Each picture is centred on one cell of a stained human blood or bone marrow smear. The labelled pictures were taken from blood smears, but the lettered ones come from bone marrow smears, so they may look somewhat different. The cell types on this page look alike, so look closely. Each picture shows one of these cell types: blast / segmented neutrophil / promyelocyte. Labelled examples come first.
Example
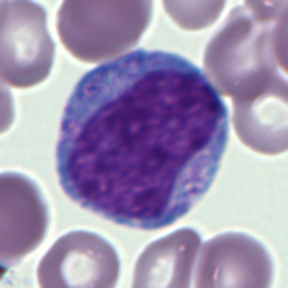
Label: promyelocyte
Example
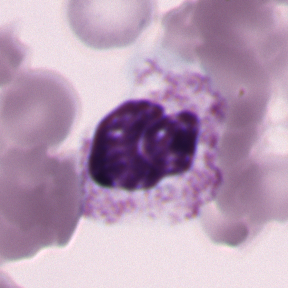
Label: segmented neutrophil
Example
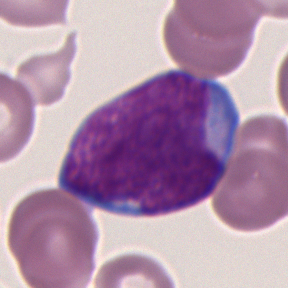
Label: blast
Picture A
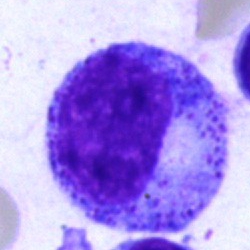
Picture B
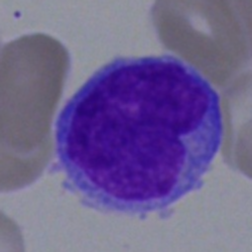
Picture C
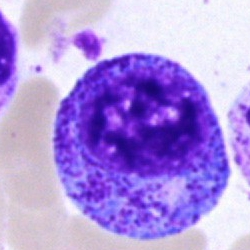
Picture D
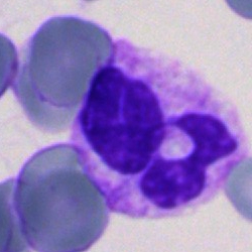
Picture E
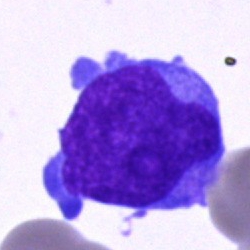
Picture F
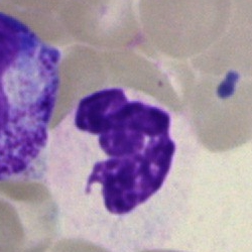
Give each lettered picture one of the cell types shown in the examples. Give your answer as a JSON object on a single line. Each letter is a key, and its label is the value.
{"A": "promyelocyte", "B": "blast", "C": "promyelocyte", "D": "segmented neutrophil", "E": "blast", "F": "segmented neutrophil"}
